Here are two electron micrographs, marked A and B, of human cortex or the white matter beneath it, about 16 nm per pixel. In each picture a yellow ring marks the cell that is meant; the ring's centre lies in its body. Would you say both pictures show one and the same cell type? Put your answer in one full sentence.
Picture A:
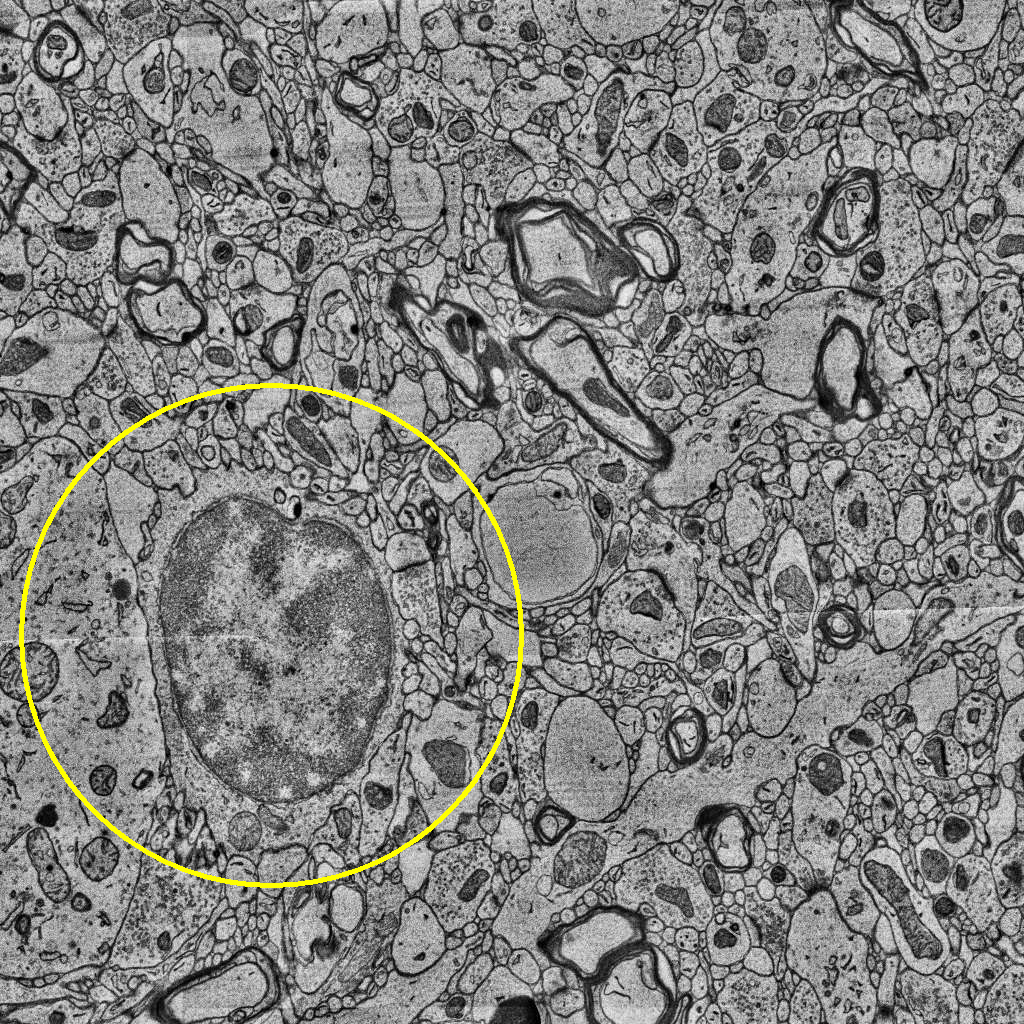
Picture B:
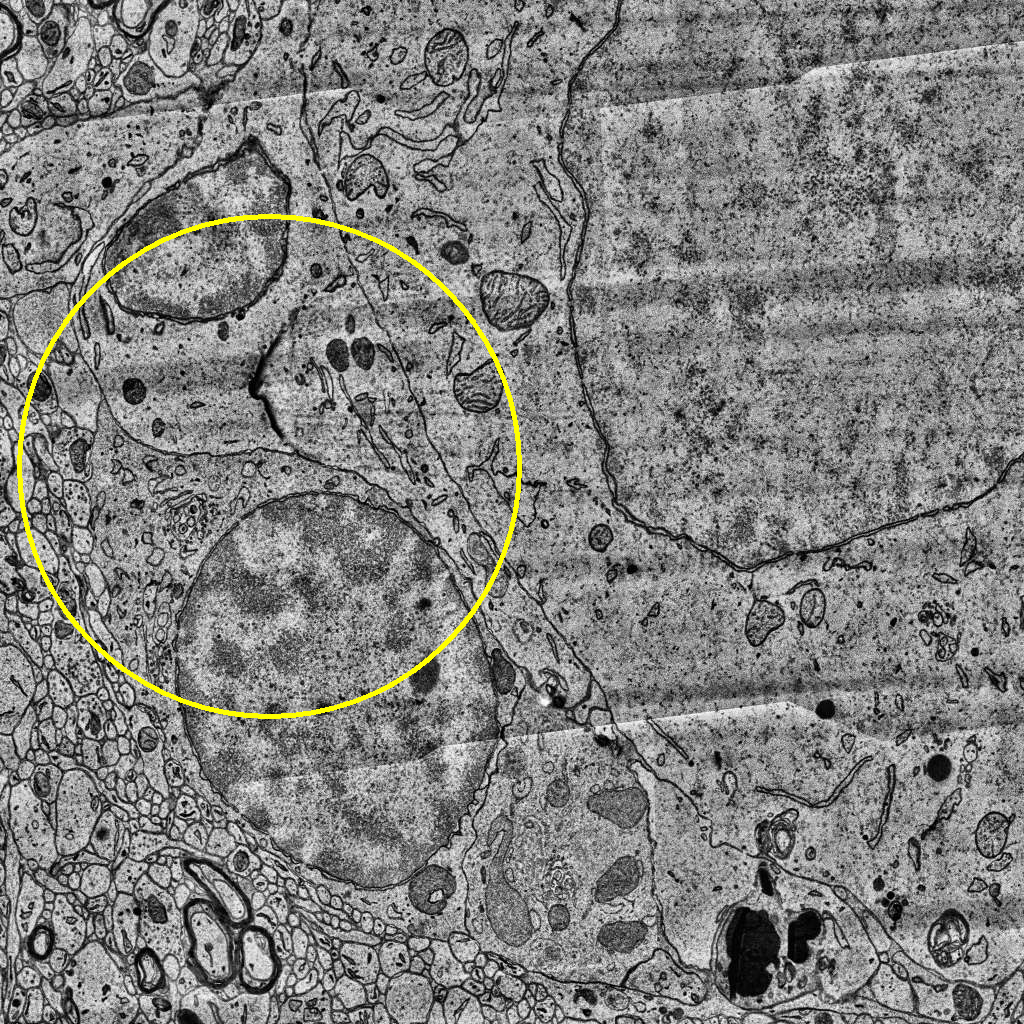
Yes, the two pictures both show oligodendrocytes.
